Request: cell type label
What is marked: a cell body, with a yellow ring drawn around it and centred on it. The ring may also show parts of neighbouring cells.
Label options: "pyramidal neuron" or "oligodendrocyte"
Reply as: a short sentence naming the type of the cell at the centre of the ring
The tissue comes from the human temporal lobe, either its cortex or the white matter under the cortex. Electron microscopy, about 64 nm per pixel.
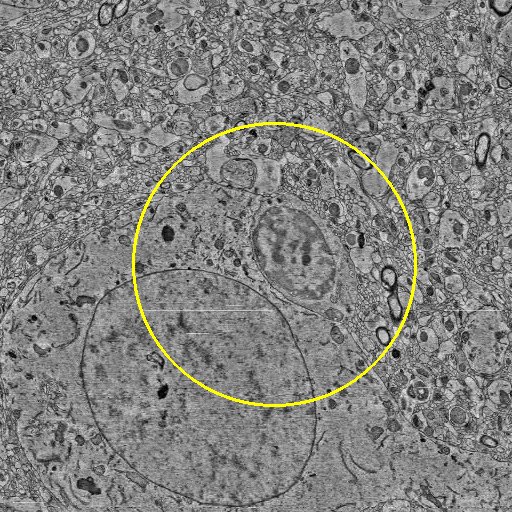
The marked cell body is that of an oligodendrocyte.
